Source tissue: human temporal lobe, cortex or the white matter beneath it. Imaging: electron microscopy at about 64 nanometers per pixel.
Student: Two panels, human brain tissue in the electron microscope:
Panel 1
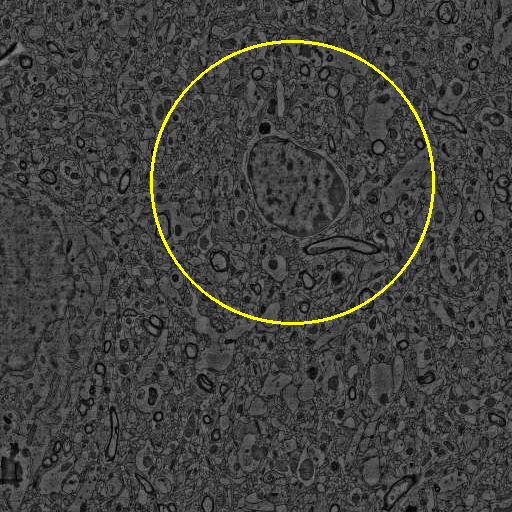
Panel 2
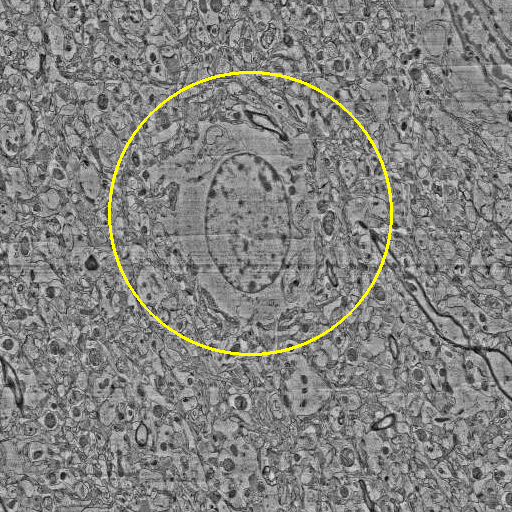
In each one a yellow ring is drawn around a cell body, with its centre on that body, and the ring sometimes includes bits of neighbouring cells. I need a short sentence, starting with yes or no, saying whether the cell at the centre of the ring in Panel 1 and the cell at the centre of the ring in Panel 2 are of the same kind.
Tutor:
No, they are two kinds of cell.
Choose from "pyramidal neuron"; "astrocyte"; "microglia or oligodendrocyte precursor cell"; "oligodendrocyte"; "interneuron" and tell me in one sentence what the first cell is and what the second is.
What the first ring is centred on is a microglial cell or oligodendrocyte precursor cell; what the second ring is centred on is an astrocyte.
